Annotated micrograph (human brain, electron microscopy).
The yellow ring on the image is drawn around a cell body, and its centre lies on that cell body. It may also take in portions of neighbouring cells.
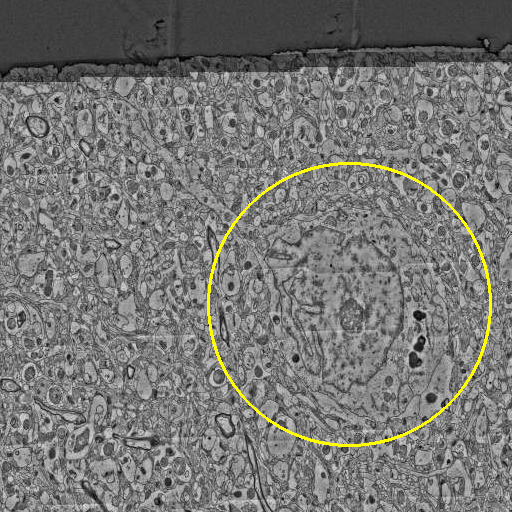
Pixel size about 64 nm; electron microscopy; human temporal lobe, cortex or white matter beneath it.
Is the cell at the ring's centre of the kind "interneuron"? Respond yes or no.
Yes, it is of the named kind.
